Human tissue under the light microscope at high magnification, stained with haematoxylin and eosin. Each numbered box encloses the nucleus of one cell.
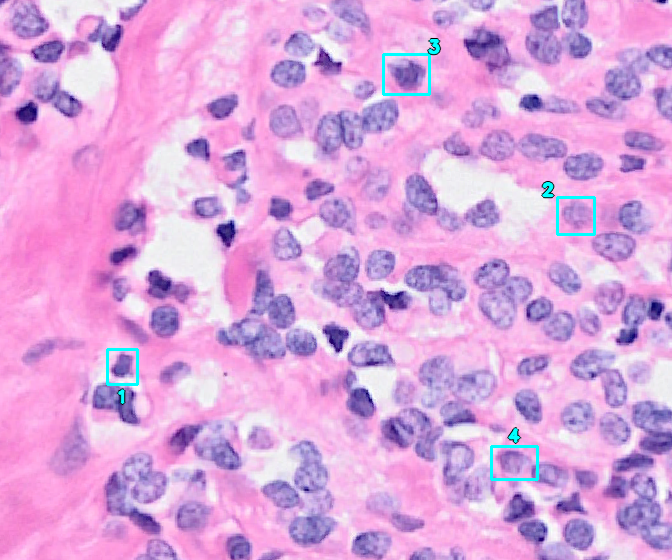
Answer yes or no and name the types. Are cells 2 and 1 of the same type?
No, the correct reading has cell 2 as a carcinoma cell and cell 1 as a lymphocyte.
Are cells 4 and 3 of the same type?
Yes, along with cell 4, cell 3 is also among the carcinoma cells.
